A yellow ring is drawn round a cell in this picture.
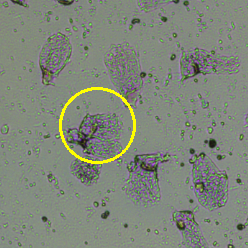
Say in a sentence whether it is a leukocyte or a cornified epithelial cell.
The cell in the ring is a cornified epithelial cell.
